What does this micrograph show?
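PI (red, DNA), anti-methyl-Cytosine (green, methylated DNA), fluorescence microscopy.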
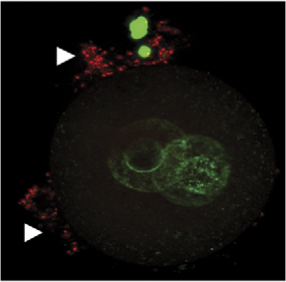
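A fertilized egg is seen with two round pronuclei lying side by side in its centre, both outlined in green, one more densely speckled than the other. Bright green bodies sit just outside the egg at the top, and clusters of small red sperm heads cling to the egg's rim.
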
